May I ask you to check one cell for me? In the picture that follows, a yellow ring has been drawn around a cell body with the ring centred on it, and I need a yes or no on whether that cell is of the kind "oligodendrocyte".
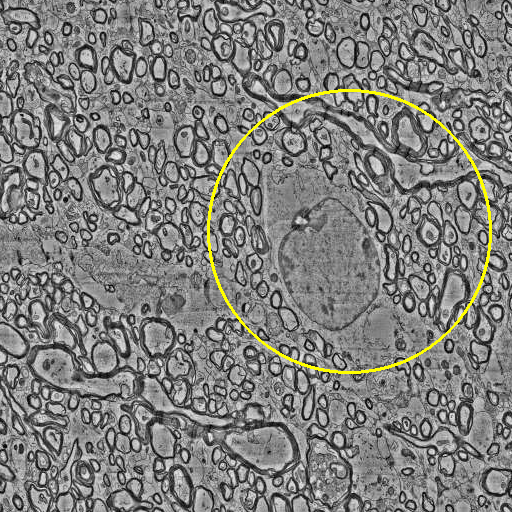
No, it is some other kind of cell.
